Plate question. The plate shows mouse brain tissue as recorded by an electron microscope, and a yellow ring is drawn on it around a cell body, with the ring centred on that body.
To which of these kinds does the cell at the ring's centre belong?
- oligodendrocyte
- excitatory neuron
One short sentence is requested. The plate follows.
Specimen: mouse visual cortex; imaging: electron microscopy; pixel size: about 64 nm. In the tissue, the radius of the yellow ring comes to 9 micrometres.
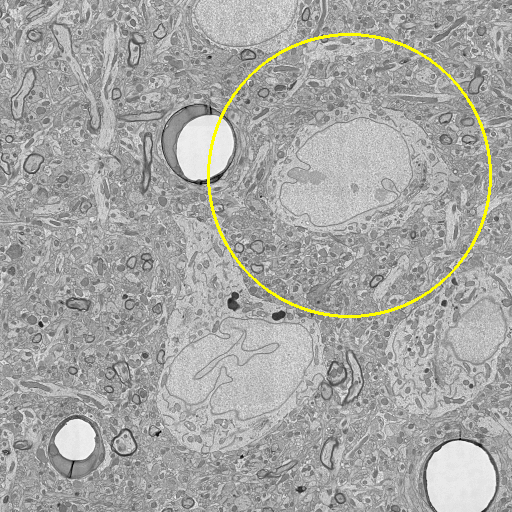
The cell at the ring's centre is an excitatory neuron.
